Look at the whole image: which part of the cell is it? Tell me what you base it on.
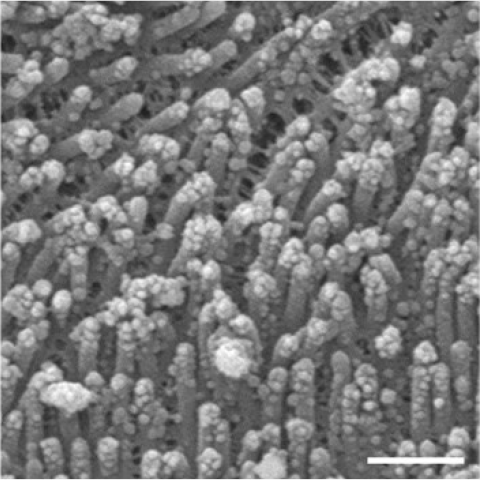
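Densely packed slender finger-like projections cover the surface. Projections are of roughly uniform width and point in a similar direction. The answer: Microvilli.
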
